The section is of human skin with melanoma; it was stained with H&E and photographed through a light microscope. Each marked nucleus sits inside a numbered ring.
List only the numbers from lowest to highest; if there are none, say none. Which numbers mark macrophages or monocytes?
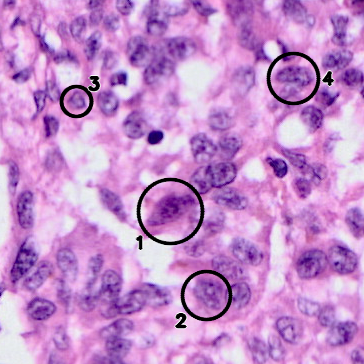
3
